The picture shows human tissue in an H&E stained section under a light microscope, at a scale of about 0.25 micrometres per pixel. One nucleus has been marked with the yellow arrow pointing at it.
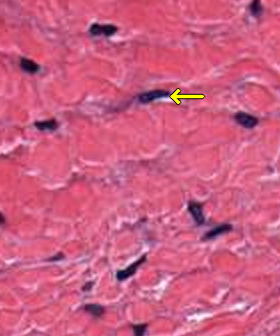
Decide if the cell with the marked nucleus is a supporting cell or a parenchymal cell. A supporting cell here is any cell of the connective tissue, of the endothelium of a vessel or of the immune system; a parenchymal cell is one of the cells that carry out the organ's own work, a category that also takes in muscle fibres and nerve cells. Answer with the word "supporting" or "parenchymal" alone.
supporting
